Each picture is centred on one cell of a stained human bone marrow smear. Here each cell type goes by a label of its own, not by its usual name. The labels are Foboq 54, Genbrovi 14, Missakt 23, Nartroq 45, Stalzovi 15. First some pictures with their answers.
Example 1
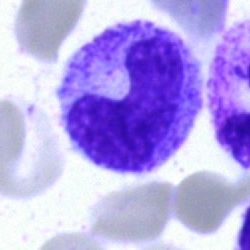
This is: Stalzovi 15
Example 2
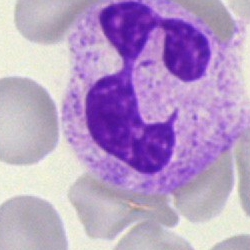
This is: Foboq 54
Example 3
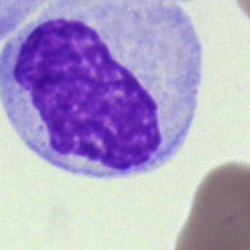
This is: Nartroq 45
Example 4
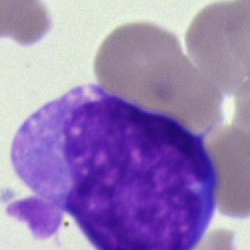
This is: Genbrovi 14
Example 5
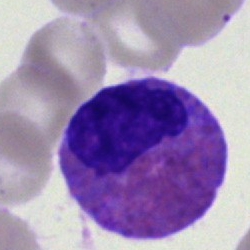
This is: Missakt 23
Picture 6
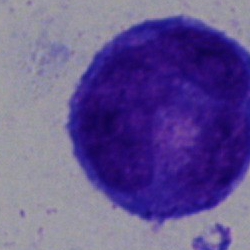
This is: Genbrovi 14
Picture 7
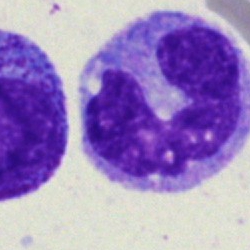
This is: Nartroq 45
